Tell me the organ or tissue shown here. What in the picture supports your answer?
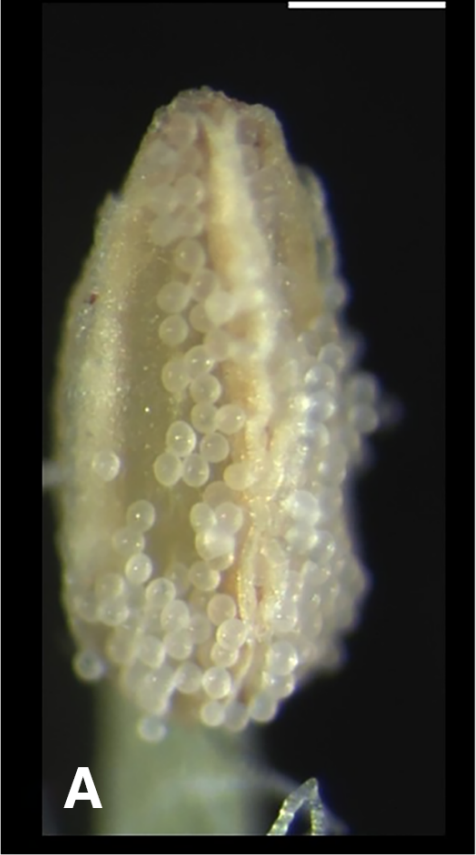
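An elongated, club-shaped organ borne on a slender greenish stalk. Longitudinal grooves run along its length. Numerous small round grains are released over its surface.
Conclusion: anther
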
